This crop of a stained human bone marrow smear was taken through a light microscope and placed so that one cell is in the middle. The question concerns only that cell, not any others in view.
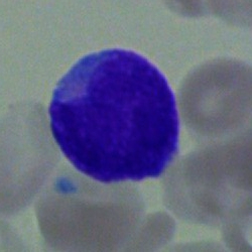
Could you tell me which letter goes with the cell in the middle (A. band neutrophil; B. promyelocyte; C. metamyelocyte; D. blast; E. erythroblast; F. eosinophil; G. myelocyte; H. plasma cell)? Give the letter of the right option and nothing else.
D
